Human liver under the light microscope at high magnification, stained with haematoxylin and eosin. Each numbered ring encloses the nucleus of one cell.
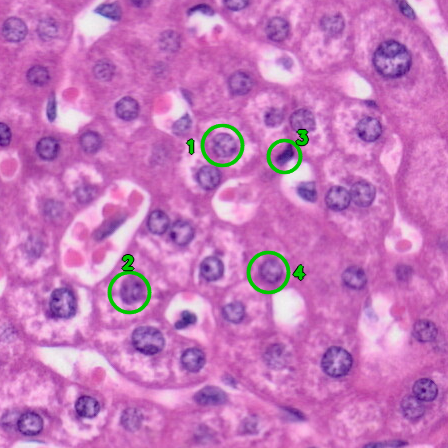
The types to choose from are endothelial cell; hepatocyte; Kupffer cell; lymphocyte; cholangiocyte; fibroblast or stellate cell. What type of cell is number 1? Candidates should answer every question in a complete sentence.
The cell referred to as 1 is a hepatocyte.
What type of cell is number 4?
Here, the cell given the number 4 is a hepatocyte.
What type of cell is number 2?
The numbered cell 2 in this field is a hepatocyte.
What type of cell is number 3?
Cell number 3 in this section is a fibroblast or stellate cell.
